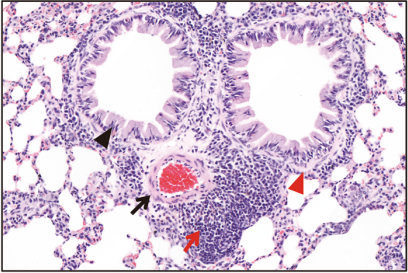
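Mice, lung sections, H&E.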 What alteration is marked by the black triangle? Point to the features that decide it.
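Epithelial goblet cell hypertrophy. The airway lining is tall columnar with pale, swollen apical cytoplasm. Nuclei of the lining cells are pushed toward the base.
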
